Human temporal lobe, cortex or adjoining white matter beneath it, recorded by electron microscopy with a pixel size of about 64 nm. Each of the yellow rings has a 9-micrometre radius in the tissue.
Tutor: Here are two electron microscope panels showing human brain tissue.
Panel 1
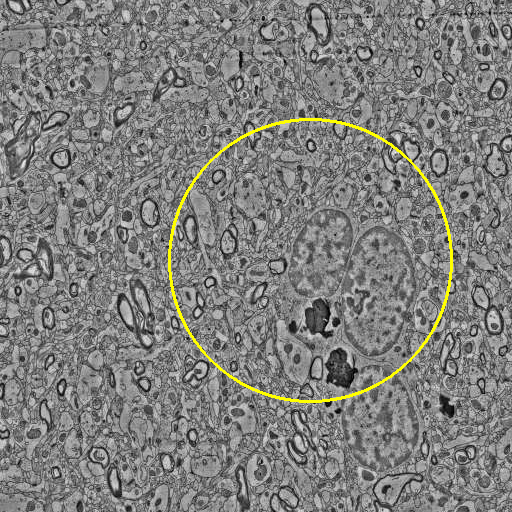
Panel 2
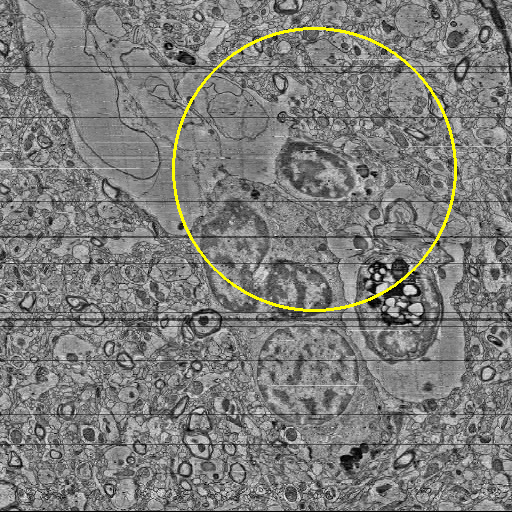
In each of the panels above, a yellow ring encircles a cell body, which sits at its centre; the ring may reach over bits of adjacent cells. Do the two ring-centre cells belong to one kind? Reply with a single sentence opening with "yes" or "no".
No, the two cells sitting at the ring centres in the panels belong to two kinds.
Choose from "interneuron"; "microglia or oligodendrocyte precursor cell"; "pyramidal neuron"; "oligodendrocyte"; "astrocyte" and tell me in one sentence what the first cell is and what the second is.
What the first ring is centred on is an oligodendrocyte; what the second ring is centred on is a microglial cell or oligodendrocyte precursor cell.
